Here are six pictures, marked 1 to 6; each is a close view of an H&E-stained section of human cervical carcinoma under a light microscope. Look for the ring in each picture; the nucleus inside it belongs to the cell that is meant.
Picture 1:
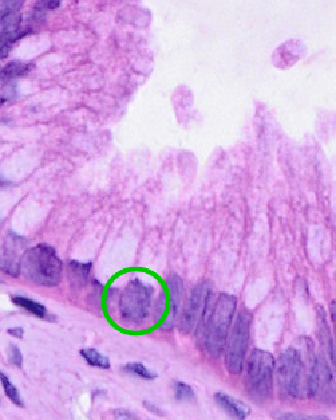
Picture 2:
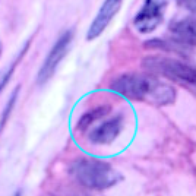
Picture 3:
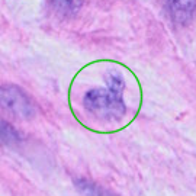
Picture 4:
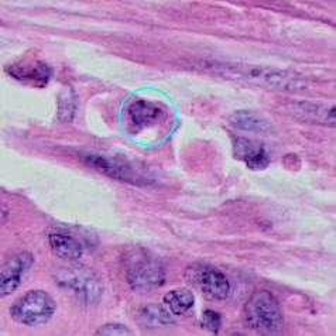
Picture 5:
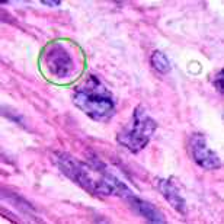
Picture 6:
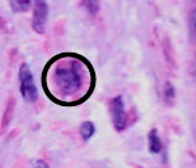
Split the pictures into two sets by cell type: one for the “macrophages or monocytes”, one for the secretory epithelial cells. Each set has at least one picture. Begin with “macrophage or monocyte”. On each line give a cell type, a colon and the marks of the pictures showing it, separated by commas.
macrophage or monocyte: 3, 4, 5, 6
secretory epithelial cell: 1, 2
